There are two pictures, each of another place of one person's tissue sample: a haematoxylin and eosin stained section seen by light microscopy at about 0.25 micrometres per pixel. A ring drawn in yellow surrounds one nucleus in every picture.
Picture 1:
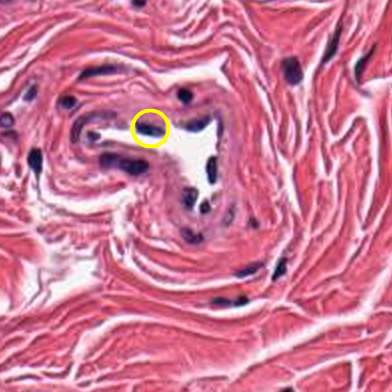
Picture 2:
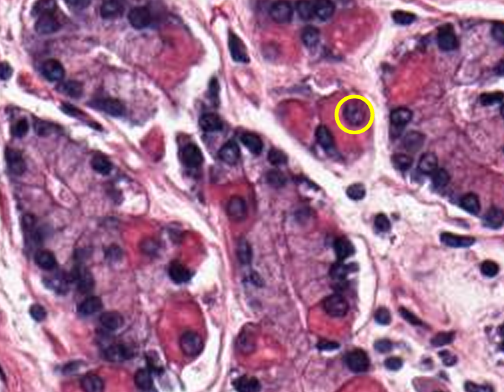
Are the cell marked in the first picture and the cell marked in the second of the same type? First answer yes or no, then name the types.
No, the first is an endothelial cell and the second a parietal cell.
